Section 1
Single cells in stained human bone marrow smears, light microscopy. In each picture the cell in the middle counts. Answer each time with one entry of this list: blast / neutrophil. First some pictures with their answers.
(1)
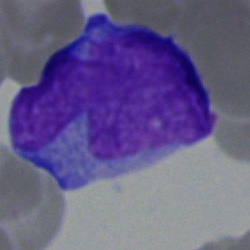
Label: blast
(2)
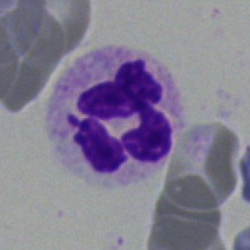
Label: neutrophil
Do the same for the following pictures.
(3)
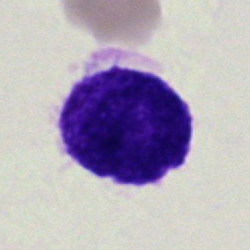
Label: blast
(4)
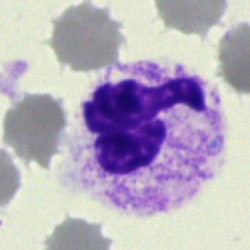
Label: neutrophil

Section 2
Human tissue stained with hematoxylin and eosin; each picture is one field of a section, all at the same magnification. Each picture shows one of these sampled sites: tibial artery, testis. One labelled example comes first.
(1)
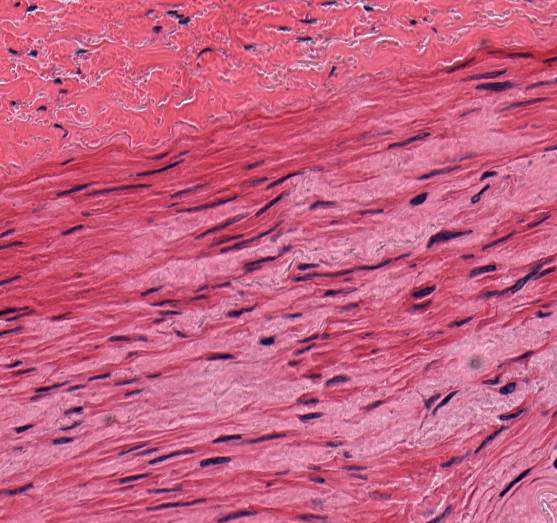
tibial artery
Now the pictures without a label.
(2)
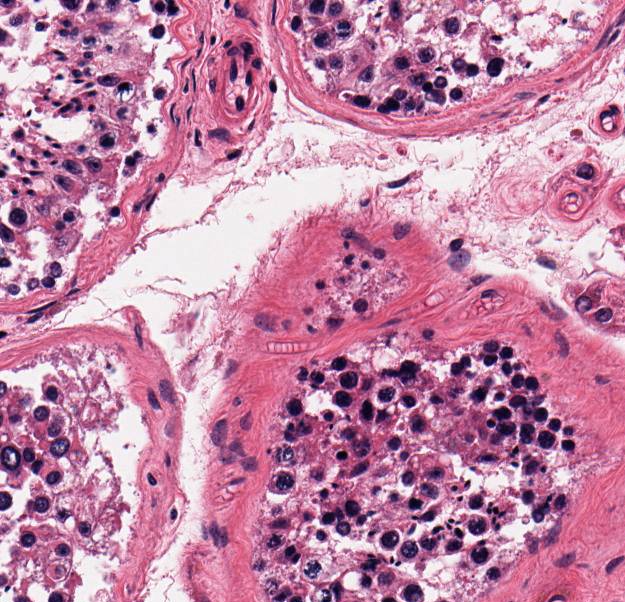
testis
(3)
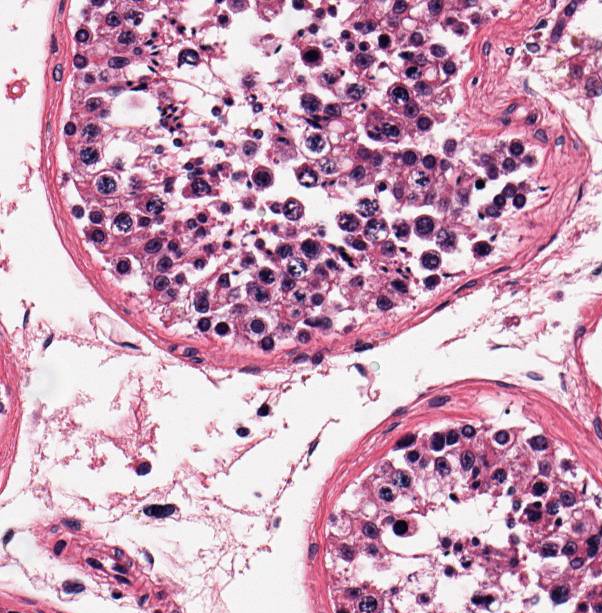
testis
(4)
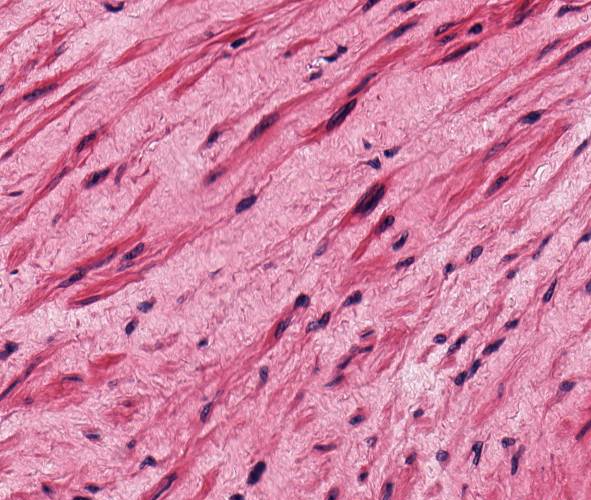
tibial artery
